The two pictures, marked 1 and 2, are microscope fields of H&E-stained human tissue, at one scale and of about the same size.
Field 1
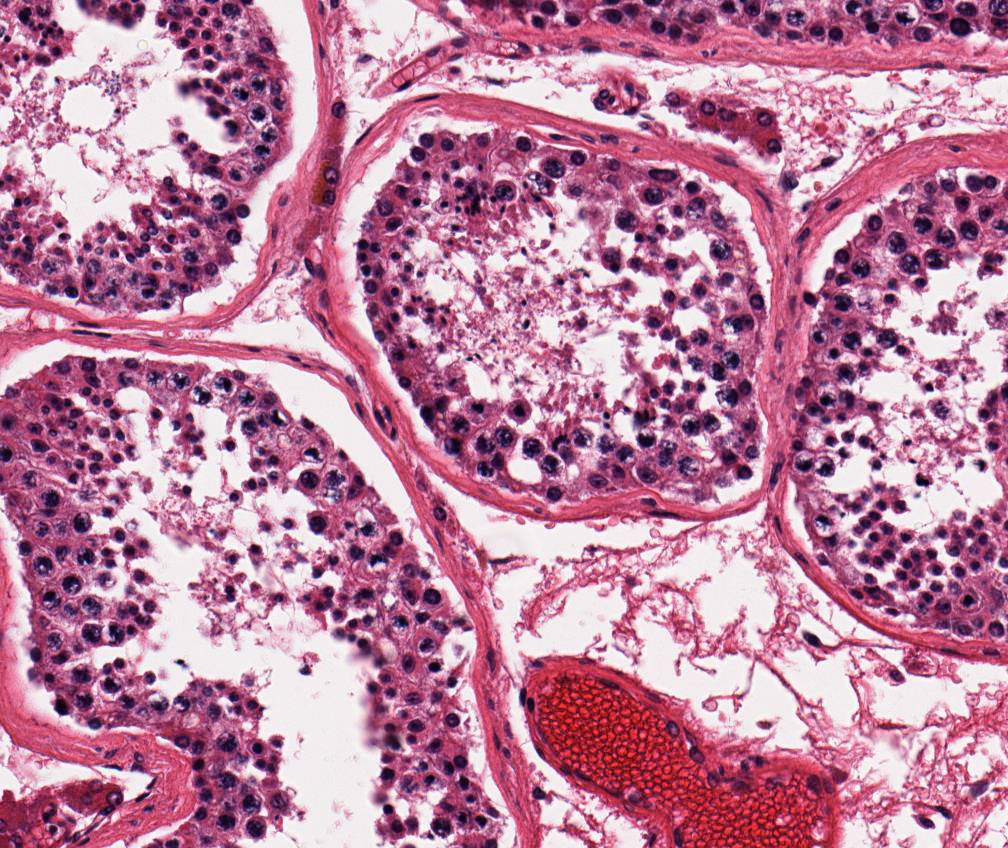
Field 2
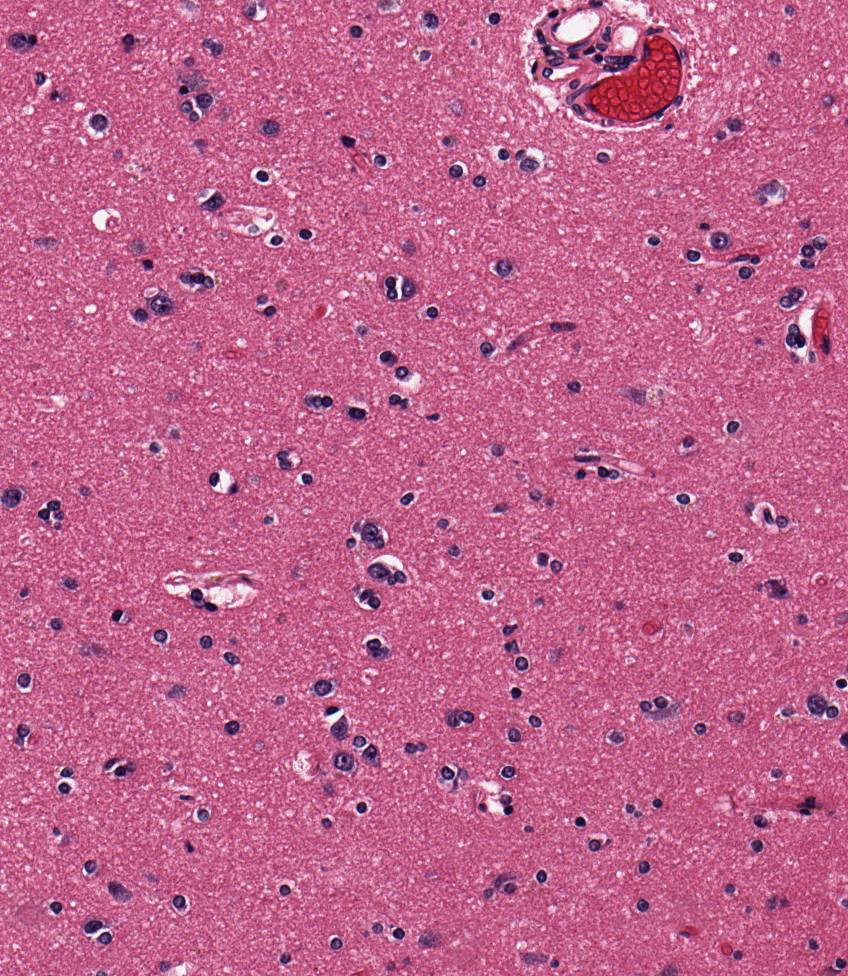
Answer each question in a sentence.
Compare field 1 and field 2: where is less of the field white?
Unstained space takes up less of field 2 than of field 1.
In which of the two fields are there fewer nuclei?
Field 2 holds fewer nuclei than field 1.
